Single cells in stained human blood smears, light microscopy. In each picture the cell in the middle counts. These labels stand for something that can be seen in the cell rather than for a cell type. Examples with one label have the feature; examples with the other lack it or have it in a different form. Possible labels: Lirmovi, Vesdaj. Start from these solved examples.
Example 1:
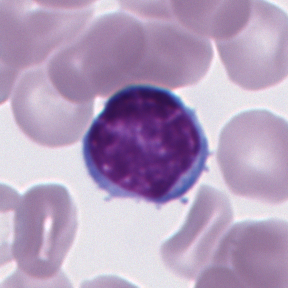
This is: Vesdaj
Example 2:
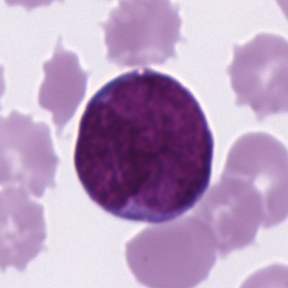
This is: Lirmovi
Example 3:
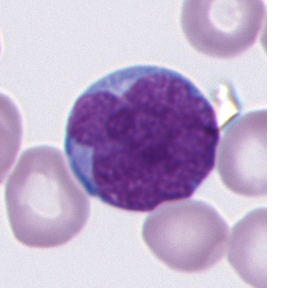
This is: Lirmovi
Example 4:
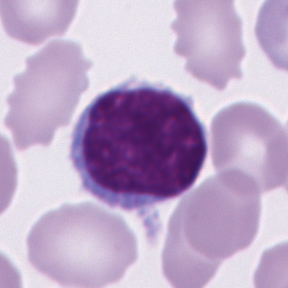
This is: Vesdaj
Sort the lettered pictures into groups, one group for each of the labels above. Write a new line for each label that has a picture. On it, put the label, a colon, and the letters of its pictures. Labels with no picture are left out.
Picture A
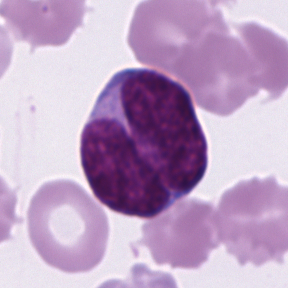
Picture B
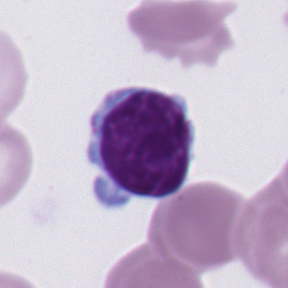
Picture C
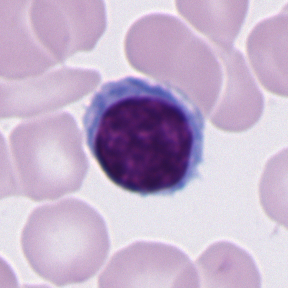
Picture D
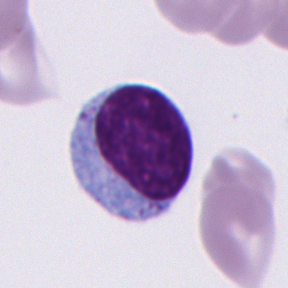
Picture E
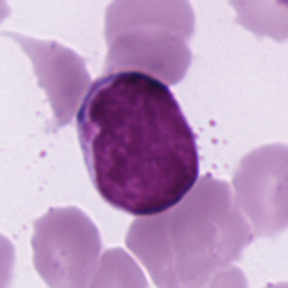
Lirmovi: A, D, E
Vesdaj: B, C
